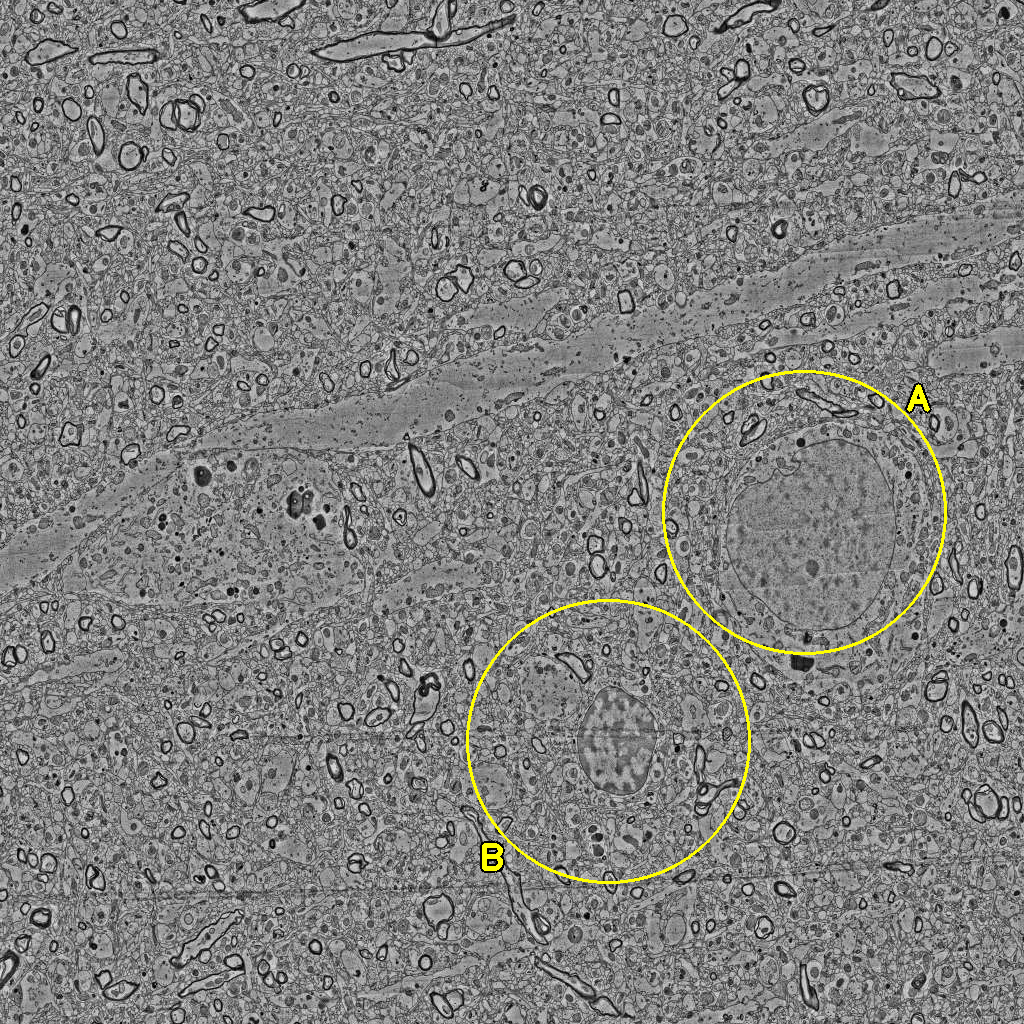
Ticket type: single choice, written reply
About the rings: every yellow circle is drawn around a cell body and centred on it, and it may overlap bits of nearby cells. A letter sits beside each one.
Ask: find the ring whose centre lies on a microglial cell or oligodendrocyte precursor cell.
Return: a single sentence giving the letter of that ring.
At the centre of the ring marked B lies the cell asked for.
